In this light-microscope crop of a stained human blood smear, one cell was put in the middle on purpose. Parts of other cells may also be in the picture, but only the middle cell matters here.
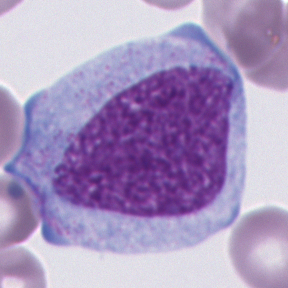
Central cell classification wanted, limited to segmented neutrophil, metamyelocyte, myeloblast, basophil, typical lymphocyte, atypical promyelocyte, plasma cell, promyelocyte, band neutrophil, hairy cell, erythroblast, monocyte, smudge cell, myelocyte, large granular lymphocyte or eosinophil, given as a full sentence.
The crop's centre is taken up by a promyelocyte.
